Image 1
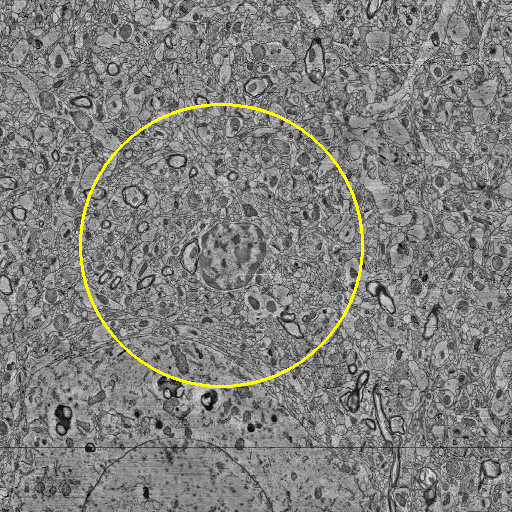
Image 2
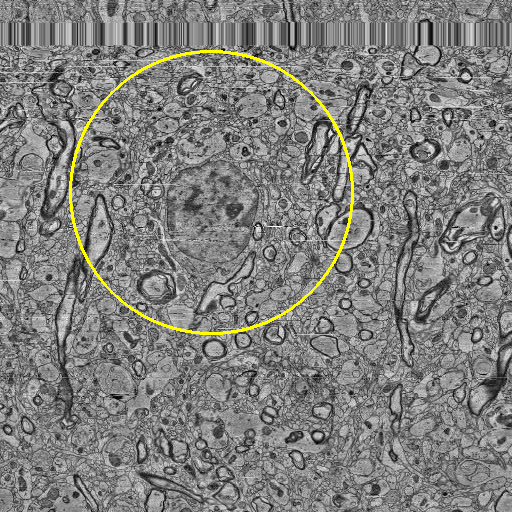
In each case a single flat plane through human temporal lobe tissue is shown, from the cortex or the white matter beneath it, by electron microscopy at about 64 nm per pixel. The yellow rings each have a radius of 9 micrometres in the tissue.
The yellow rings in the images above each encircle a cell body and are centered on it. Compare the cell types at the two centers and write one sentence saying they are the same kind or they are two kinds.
Taken together, the two cells at the ring centers are two kinds.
